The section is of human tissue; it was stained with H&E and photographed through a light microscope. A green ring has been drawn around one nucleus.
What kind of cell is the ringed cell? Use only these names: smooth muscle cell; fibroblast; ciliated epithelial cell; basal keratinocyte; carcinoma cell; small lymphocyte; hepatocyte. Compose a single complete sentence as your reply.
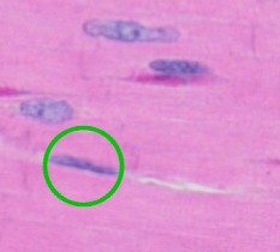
In the stained section, the ringed cell is a fibroblast.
